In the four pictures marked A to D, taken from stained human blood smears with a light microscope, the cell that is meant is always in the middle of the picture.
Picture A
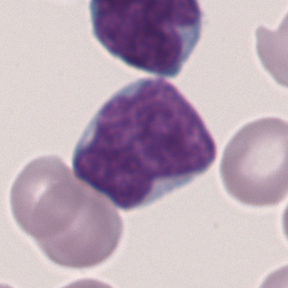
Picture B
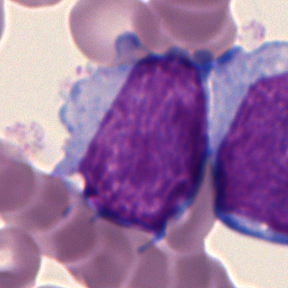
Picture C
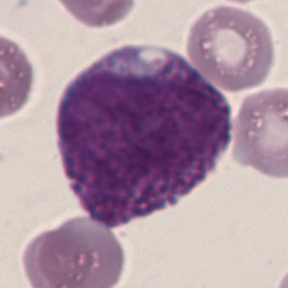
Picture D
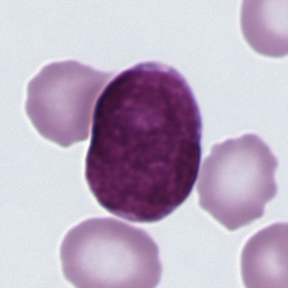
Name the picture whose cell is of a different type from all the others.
C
